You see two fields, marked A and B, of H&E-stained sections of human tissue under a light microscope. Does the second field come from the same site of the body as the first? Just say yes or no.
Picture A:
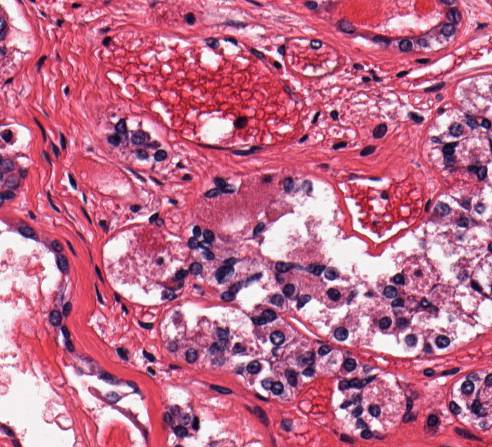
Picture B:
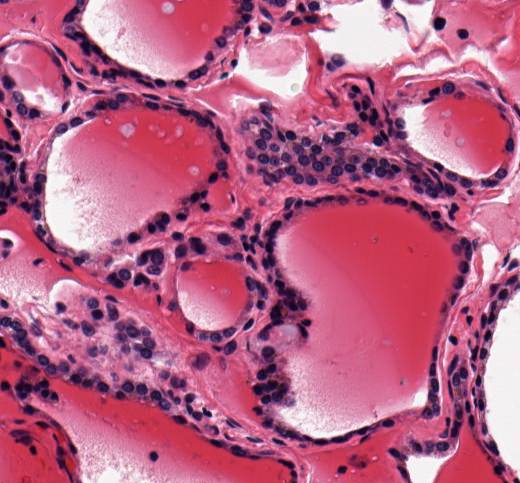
no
